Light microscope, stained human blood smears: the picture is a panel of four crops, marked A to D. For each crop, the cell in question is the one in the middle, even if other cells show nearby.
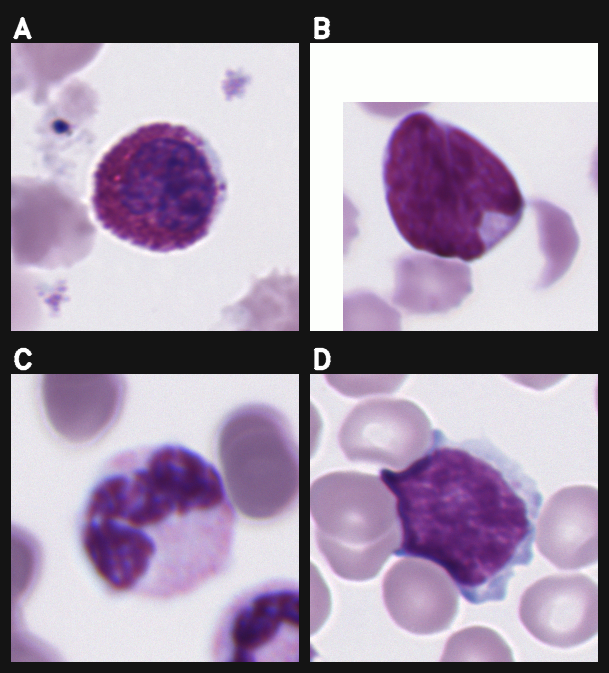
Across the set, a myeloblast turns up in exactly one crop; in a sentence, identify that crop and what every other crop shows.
The crop marked B contains a myeloblast, while crop A is an eosinophil, crop C is a segmented neutrophil and crop D is a typical lymphocyte.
